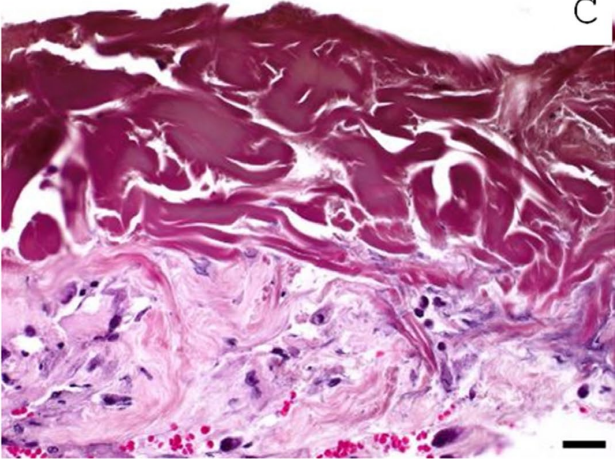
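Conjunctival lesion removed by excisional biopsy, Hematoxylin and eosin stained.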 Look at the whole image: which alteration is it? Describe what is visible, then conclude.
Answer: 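An abrupt transition between affected and unaffected tissue. The upper part is dark red-brown, compacted collagen without nuclei. A sharp border separates it from pale pink, loose connective tissue below that contains nuclei.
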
